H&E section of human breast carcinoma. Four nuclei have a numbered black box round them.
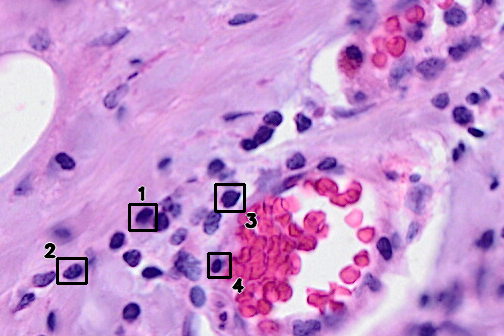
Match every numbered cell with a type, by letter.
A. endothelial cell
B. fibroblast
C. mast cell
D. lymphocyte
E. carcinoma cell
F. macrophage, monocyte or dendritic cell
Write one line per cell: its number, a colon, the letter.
1: D
2: D
3: D
4: A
